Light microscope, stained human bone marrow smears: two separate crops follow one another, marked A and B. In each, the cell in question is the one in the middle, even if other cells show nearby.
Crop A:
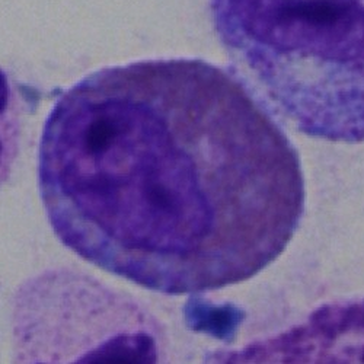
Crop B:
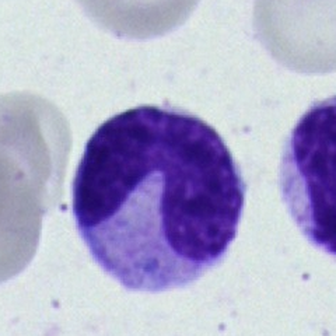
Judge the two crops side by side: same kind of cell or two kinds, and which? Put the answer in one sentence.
No, crop A is home to an eosinophil, and crop B to a band neutrophil.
